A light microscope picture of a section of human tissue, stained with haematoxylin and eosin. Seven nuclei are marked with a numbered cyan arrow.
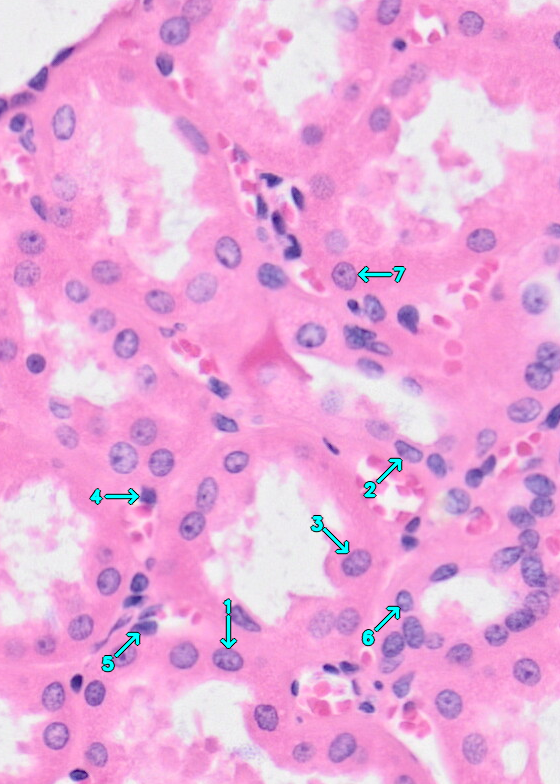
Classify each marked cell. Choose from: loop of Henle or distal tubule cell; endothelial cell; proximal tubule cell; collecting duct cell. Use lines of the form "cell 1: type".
cell 1: proximal tubule cell
cell 2: collecting duct cell
cell 3: proximal tubule cell
cell 4: endothelial cell
cell 5: endothelial cell
cell 6: collecting duct cell
cell 7: proximal tubule cell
